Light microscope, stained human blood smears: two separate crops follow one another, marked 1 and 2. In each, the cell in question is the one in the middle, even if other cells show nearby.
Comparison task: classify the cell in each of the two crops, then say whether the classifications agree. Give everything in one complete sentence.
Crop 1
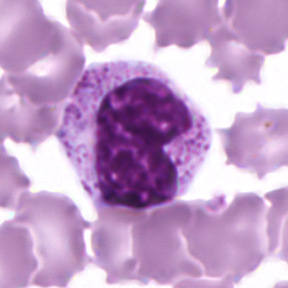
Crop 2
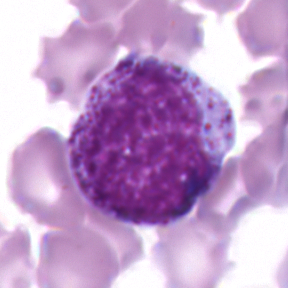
No, the cell centred in crop 2 is a myelocyte; crop 1 centres on a metamyelocyte.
